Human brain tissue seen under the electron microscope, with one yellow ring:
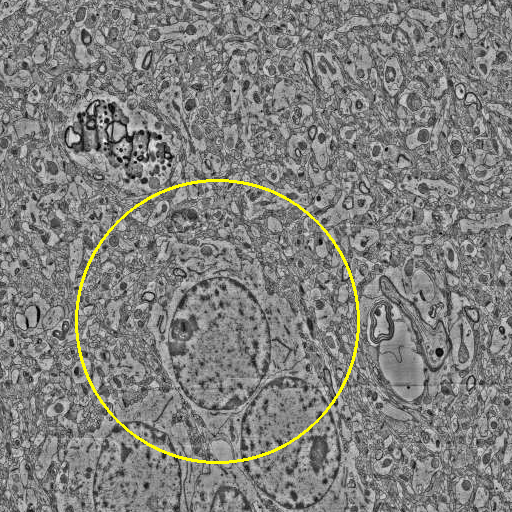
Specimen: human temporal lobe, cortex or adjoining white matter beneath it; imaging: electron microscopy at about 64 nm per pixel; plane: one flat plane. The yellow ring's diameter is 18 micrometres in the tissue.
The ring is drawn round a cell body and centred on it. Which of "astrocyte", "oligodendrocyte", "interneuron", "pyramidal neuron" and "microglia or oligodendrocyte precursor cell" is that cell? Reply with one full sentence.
The picture shows an astrocyte at the very centre of the yellow ring.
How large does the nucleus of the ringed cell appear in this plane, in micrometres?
In this plane, approximately 9 by 6 micrometers.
